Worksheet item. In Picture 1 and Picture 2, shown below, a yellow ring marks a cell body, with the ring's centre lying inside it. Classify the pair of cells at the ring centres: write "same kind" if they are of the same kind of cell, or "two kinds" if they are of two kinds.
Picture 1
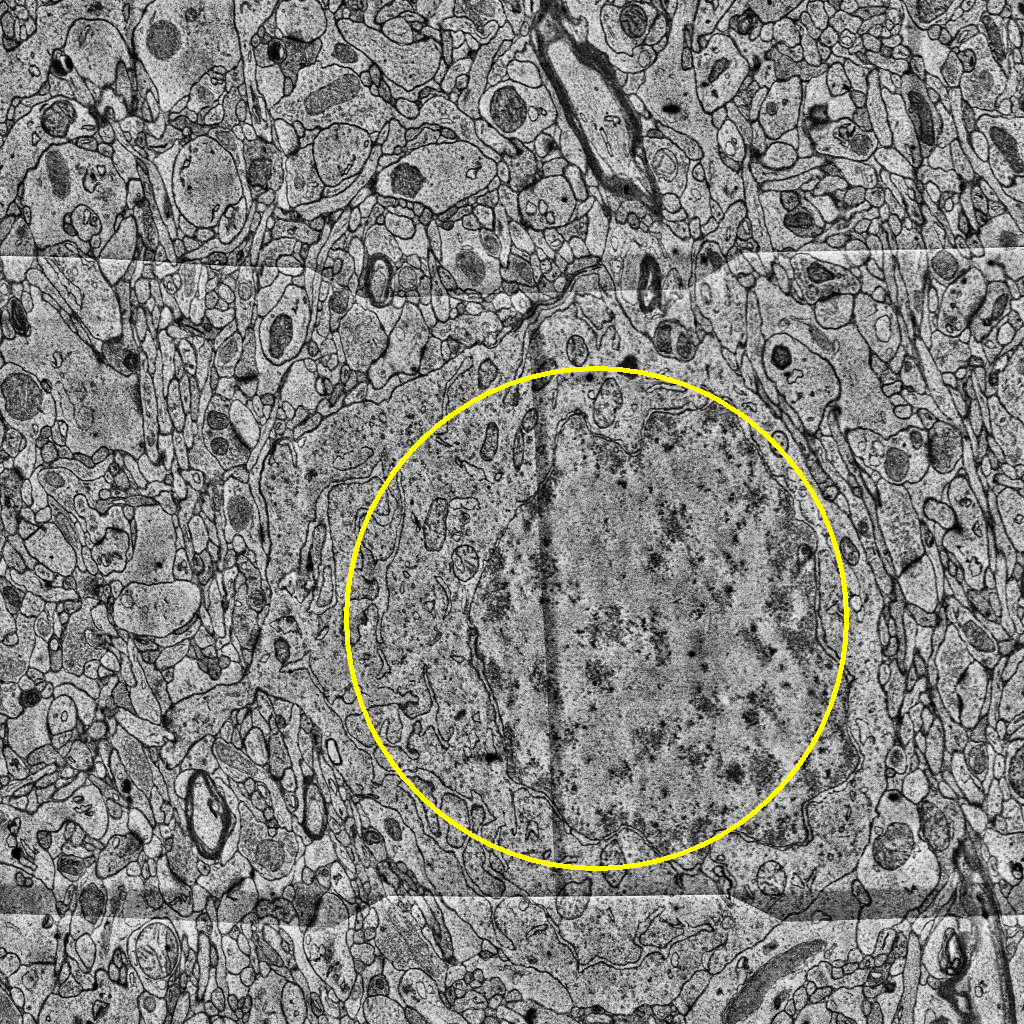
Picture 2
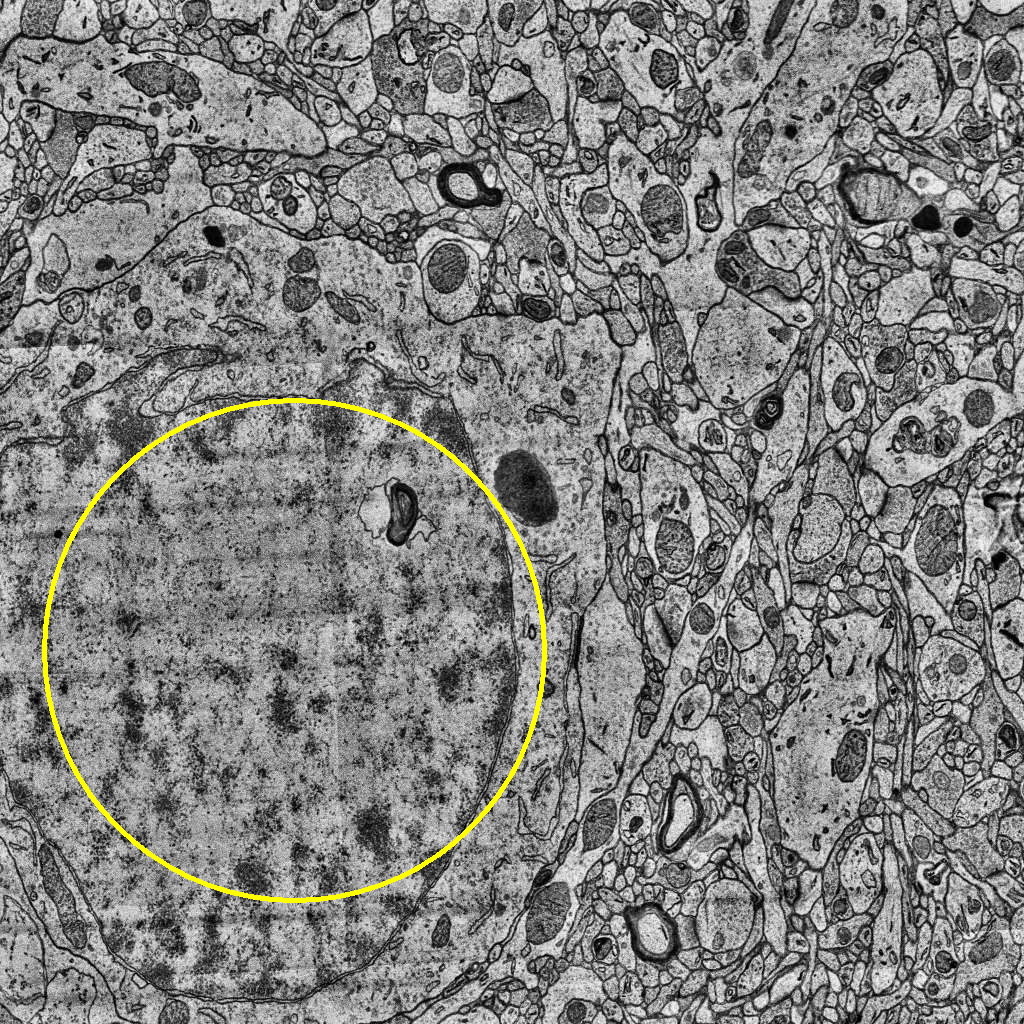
same kind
